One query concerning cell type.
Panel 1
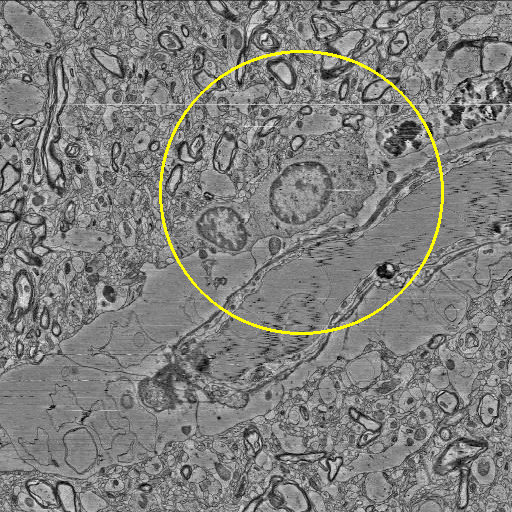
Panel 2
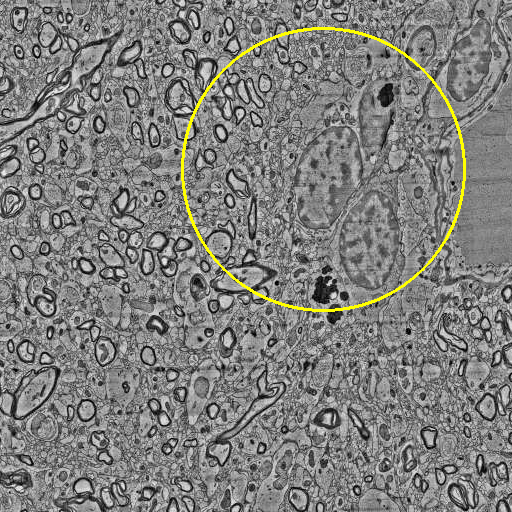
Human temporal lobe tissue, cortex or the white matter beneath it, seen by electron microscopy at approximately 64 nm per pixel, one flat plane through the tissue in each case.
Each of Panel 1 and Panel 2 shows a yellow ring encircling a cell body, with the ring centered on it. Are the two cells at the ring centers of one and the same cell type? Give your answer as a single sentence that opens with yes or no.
No, the cell centered in Panel 1 and the one in Panel 2 are of two types.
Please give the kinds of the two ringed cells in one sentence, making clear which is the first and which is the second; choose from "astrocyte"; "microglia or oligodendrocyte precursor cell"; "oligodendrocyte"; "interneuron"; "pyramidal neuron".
In the second picture the ringed cell is a microglial cell or oligodendrocyte precursor cell; in the first it is an oligodendrocyte.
